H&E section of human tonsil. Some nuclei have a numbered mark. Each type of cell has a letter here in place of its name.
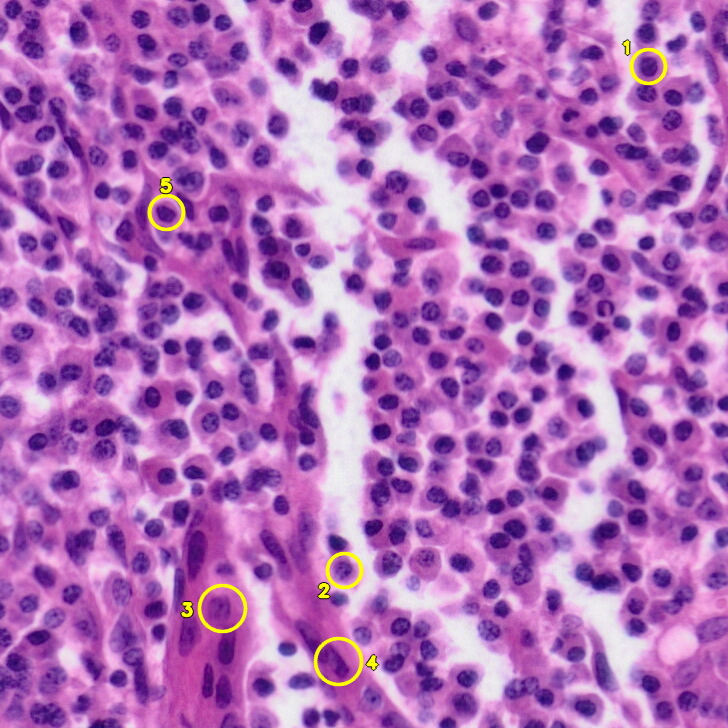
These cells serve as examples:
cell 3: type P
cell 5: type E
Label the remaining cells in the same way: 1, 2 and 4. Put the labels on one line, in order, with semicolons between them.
type E; type E; type P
